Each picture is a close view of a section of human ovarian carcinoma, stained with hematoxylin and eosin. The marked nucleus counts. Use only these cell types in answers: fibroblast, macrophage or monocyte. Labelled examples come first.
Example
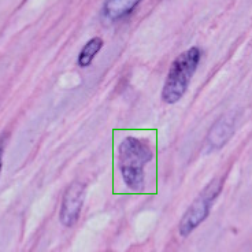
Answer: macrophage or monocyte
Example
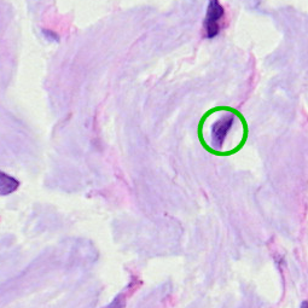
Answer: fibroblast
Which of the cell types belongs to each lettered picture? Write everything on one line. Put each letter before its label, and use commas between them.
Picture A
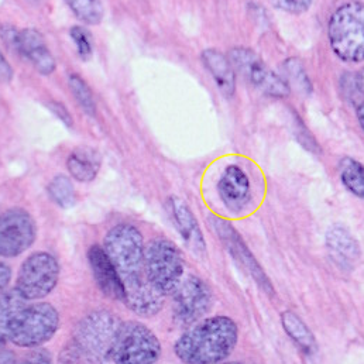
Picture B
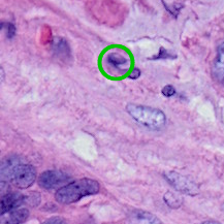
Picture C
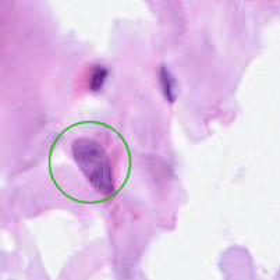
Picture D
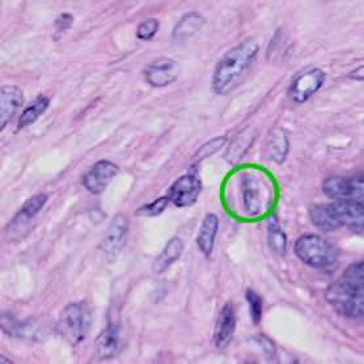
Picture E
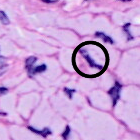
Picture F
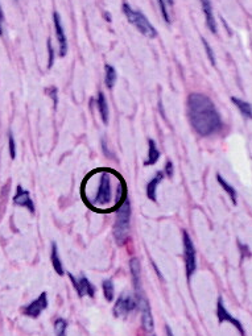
A macrophage or monocyte, B macrophage or monocyte, C fibroblast, D fibroblast, E fibroblast, F fibroblast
